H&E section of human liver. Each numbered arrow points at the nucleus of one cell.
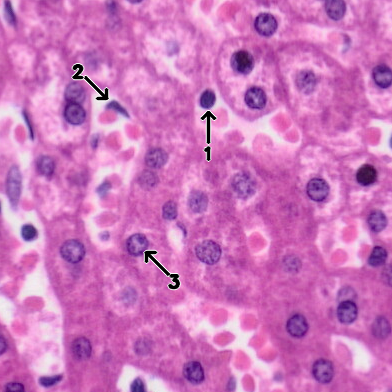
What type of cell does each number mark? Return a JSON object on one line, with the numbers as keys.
{"1": "lymphocyte", "2": "endothelial cell", "3": "hepatocyte"}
